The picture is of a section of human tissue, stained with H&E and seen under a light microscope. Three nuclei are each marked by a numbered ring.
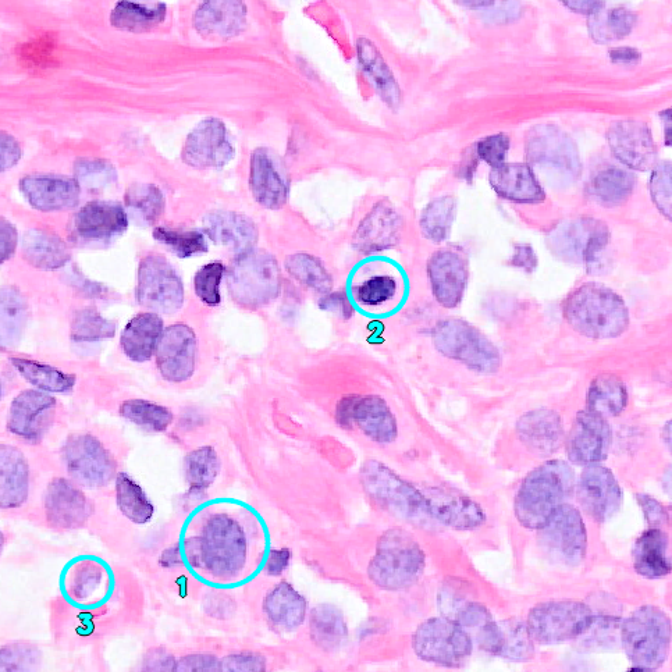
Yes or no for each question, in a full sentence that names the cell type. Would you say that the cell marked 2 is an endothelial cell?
No, the cell given number 2 is a lymphocyte, as opposed to an endothelial cell.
